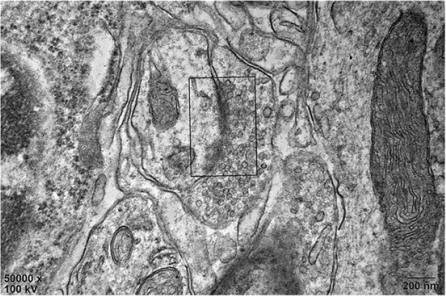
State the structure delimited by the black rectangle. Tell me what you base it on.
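The rectangle encloses a dense membrane contact between two profiles. Small round vesicles fill the profile beside the contact.
Hence: synaptic interface.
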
